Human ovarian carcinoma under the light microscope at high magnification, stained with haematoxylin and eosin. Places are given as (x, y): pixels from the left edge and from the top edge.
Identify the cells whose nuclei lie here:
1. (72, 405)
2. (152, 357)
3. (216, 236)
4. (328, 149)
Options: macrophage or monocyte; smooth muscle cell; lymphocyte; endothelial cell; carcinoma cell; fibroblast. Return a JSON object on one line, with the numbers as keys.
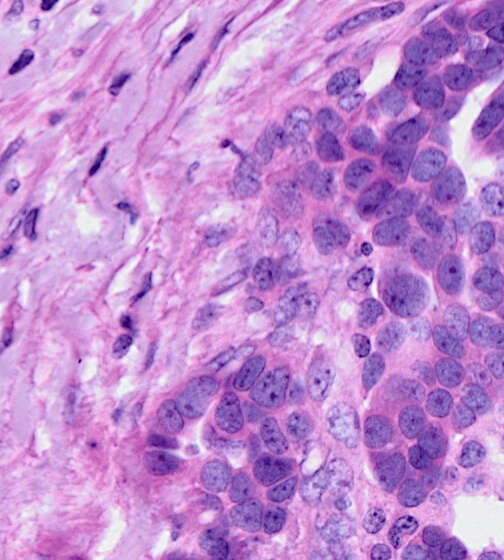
{"1": "fibroblast", "2": "fibroblast", "3": "fibroblast", "4": "carcinoma cell"}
